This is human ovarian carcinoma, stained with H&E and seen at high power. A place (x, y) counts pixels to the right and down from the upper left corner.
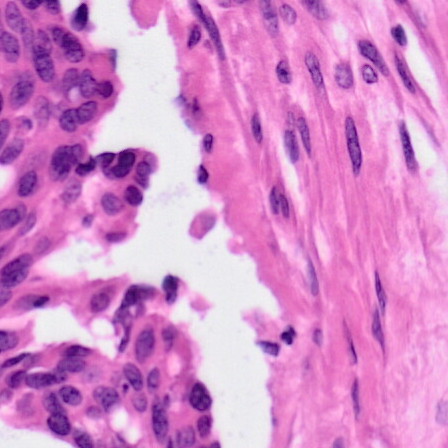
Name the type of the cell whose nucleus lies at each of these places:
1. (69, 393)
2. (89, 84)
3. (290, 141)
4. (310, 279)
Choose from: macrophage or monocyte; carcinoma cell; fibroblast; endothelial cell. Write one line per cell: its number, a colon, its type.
1: macrophage or monocyte
2: carcinoma cell
3: fibroblast
4: fibroblast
